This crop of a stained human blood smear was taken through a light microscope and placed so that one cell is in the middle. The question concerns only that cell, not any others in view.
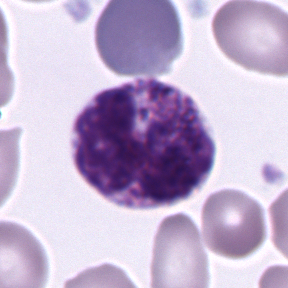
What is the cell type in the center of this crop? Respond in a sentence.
In this crop, the cell at the very middle is a basophil.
